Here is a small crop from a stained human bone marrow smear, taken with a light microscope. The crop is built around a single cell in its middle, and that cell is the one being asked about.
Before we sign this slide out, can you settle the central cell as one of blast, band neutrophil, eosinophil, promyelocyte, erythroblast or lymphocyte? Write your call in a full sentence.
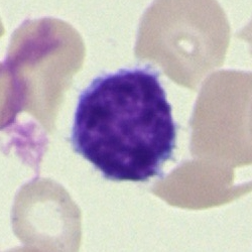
By classification, the middle cell of this crop is a lymphocyte.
